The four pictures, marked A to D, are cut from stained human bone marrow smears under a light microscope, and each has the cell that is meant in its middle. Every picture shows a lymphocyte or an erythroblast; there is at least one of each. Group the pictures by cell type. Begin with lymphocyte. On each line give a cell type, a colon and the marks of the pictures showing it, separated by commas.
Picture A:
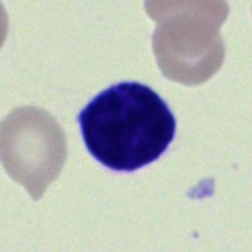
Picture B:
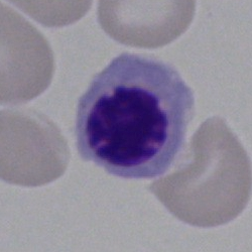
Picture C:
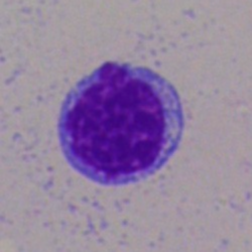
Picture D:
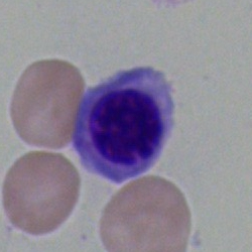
lymphocyte: A, C
erythroblast: B, D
